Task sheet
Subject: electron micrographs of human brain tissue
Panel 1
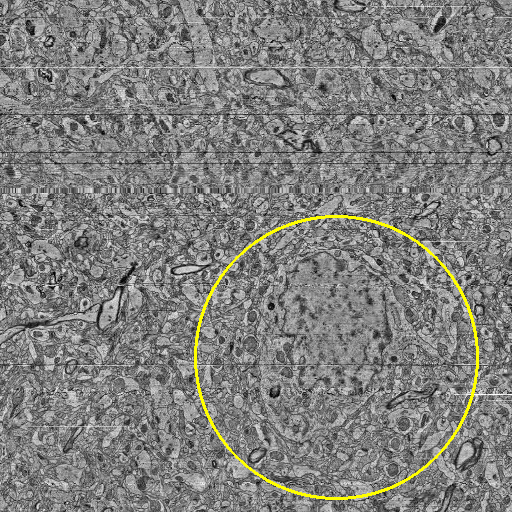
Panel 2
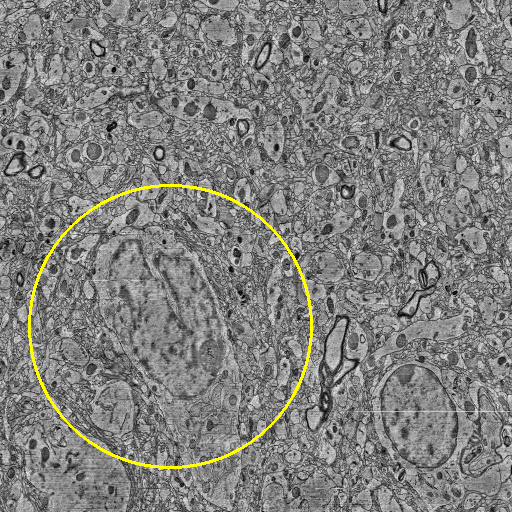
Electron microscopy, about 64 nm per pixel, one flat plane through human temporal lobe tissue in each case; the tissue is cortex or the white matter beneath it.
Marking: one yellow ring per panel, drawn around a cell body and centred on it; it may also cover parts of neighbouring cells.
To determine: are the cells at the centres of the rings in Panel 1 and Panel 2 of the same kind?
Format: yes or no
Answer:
yes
